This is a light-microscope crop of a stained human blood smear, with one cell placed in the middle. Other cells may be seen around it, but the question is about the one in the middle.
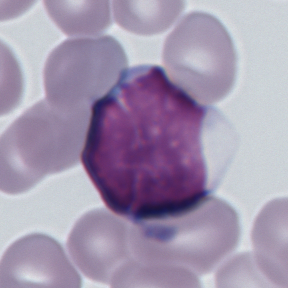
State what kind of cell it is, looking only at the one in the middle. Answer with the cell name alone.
large granular lymphocyte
